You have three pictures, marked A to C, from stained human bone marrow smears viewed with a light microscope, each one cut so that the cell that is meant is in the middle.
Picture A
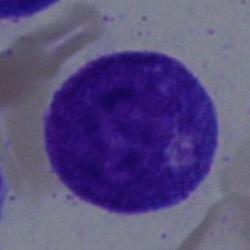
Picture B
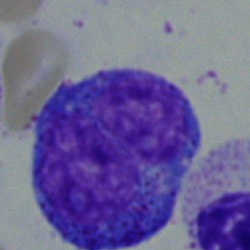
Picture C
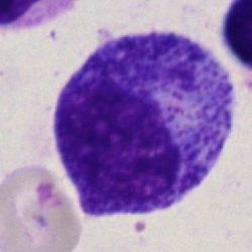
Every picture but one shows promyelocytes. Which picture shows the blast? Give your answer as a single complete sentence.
The picture with the blast is B.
